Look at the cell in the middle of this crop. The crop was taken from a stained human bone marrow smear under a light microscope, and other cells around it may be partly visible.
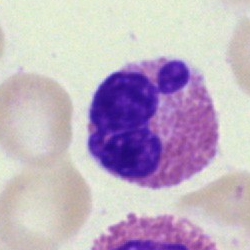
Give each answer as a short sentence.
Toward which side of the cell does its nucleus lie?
It is shifted toward the left of the cell.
